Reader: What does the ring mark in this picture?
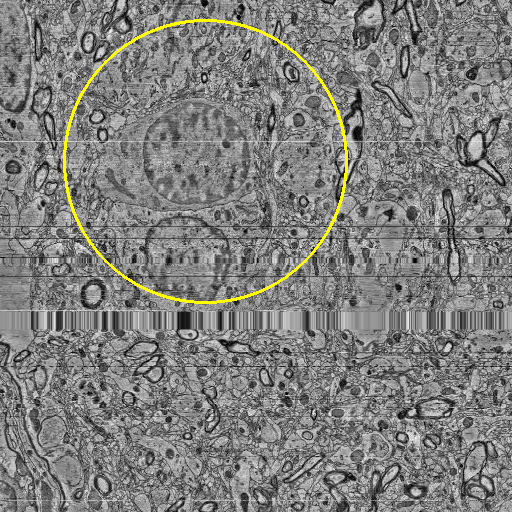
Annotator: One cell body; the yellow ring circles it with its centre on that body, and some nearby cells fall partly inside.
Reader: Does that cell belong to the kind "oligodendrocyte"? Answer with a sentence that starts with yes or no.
Yes, in this picture the ringed cell at the centre belongs to that kind.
